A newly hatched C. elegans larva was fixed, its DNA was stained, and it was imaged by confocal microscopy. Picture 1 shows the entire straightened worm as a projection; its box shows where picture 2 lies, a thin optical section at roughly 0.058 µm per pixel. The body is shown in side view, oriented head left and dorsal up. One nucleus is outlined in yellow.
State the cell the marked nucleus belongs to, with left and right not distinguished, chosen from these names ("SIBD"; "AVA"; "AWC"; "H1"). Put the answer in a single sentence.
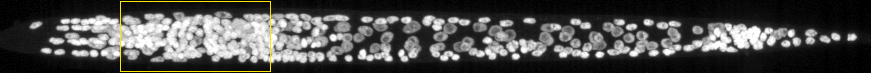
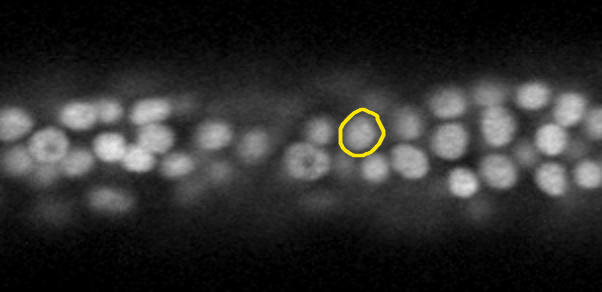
This is the nucleus of AVA, a neuron.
